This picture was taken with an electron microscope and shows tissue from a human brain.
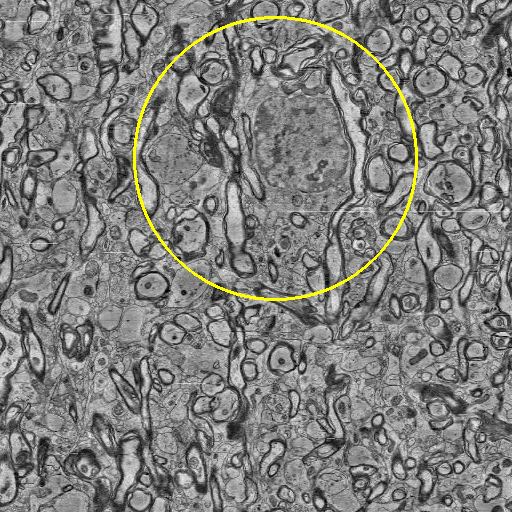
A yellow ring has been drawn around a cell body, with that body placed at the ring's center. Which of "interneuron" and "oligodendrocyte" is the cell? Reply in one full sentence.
In this picture, an oligodendrocyte is the cell at the center of the yellow ring.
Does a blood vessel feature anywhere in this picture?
No, the image shows no blood vessel.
